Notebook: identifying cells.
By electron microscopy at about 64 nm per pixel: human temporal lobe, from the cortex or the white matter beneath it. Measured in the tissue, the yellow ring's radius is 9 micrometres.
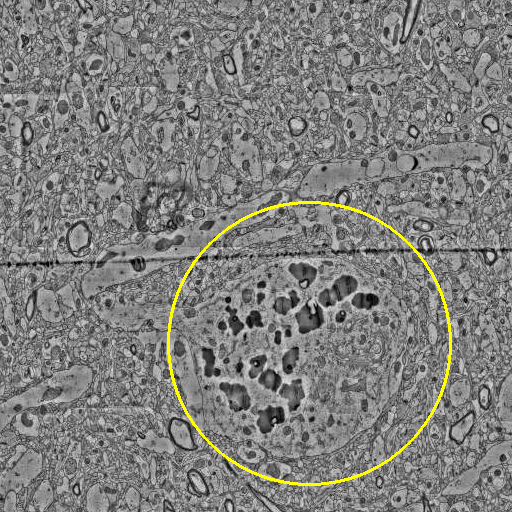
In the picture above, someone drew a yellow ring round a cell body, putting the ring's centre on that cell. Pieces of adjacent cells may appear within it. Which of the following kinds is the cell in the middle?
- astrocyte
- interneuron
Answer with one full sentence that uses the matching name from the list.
In this picture, the yellow ring is centred on the body of an interneuron.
